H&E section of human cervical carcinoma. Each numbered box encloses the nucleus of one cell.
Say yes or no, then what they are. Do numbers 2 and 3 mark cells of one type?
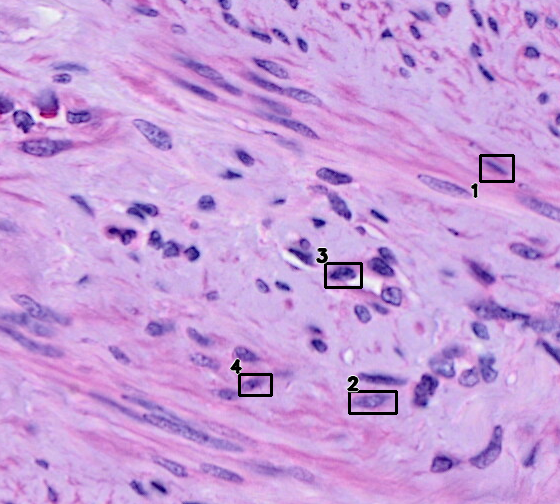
No, the right answer is a smooth muscle cell for cell 2 and an endothelial cell for cell 3.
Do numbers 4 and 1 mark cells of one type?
Yes, cells 4 and 1 have the same identity; both are smooth muscle cells.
